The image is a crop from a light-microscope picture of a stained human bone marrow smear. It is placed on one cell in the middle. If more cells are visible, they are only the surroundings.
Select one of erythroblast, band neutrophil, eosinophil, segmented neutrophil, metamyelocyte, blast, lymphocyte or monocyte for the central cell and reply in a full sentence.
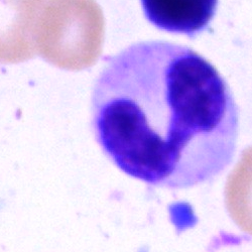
This crop's central cell is a segmented neutrophil.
